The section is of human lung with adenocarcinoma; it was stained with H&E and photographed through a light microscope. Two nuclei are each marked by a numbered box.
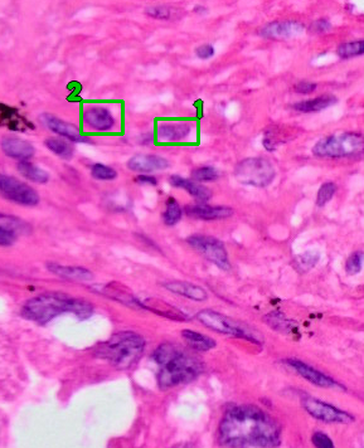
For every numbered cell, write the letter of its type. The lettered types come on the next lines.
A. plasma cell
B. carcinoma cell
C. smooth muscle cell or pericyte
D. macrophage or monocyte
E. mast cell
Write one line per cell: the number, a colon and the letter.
1: C
2: E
